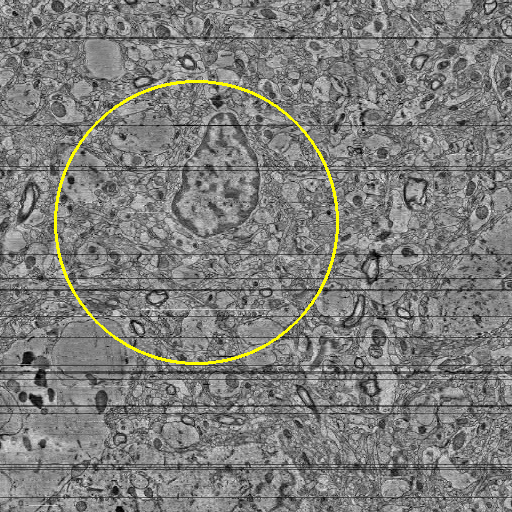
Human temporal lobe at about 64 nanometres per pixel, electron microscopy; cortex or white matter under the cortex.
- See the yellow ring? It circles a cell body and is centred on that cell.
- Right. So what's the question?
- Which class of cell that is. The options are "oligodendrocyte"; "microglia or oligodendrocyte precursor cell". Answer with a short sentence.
The centre of the ring holds a microglial cell or oligodendrocyte precursor cell.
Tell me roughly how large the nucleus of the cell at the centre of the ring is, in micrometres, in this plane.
In this plane, about 7 micrometres in length and 5 in width.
